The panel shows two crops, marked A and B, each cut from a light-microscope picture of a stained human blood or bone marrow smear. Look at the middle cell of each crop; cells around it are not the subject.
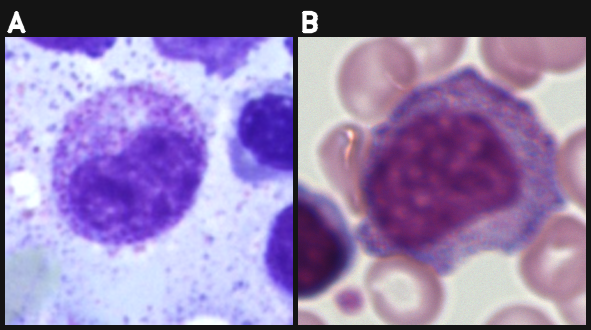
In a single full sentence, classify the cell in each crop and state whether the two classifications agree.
No, crop A shows a myelocyte, and the cell in crop B is a promyelocyte.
